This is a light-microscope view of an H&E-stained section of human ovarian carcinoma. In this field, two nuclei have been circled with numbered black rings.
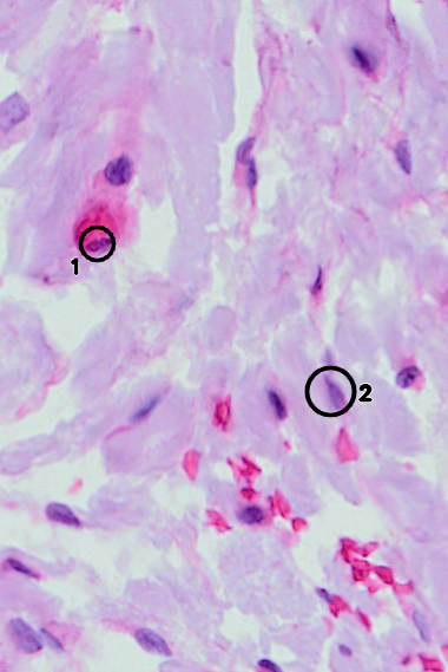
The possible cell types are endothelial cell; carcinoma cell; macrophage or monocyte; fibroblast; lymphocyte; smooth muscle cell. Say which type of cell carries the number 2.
fibroblast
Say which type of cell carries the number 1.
endothelial cell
